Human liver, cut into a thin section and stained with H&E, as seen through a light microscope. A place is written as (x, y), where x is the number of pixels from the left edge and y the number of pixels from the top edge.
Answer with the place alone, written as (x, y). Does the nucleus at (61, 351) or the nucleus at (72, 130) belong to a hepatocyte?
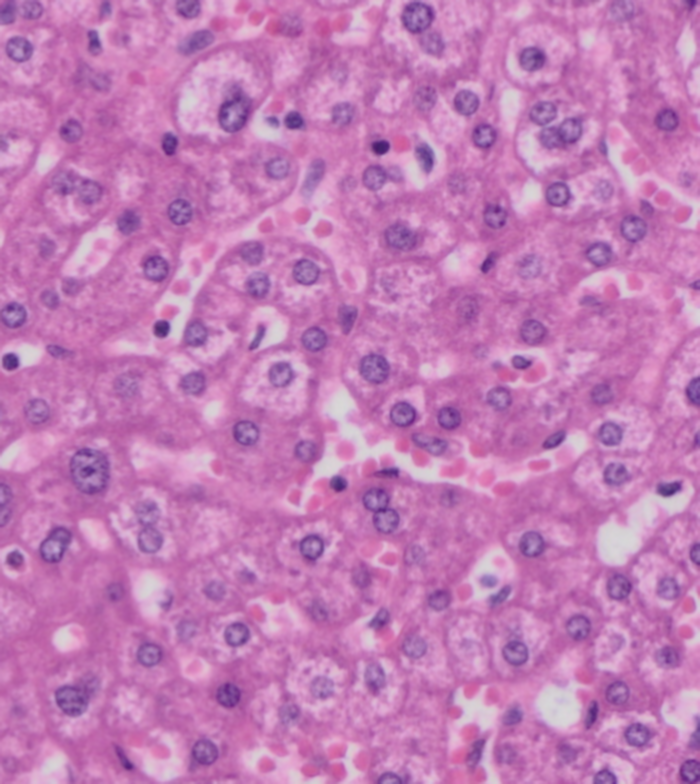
(72, 130)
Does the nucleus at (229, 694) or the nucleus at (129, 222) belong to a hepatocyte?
(229, 694)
